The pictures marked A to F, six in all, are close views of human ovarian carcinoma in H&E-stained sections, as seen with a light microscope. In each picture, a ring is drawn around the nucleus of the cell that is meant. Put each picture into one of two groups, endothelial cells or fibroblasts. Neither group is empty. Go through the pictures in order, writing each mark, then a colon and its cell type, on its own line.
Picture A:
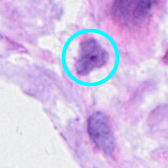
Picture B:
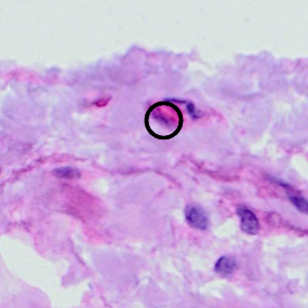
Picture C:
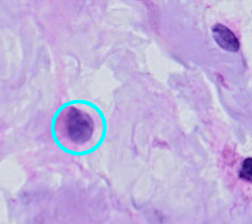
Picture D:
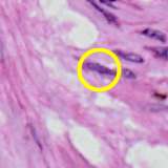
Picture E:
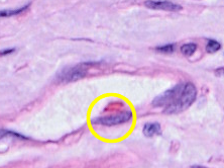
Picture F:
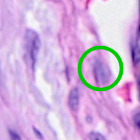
A: fibroblast
B: endothelial cell
C: fibroblast
D: fibroblast
E: endothelial cell
F: endothelial cell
